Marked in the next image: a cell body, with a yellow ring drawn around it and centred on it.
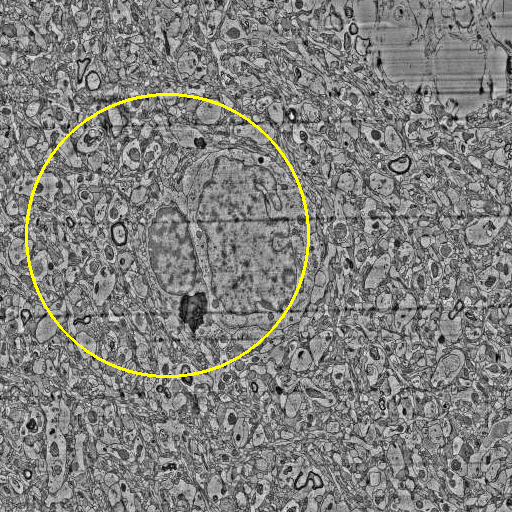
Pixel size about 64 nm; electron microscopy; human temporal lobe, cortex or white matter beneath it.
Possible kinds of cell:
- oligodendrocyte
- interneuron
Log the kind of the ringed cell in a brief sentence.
The ringed cell body is that of an oligodendrocyte.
